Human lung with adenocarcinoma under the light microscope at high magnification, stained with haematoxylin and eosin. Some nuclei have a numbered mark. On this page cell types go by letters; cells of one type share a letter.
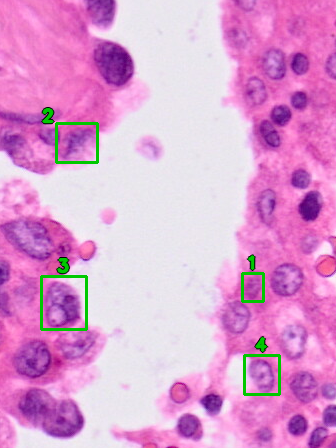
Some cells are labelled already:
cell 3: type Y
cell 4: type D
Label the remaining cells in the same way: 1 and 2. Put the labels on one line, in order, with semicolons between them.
type D; type Y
